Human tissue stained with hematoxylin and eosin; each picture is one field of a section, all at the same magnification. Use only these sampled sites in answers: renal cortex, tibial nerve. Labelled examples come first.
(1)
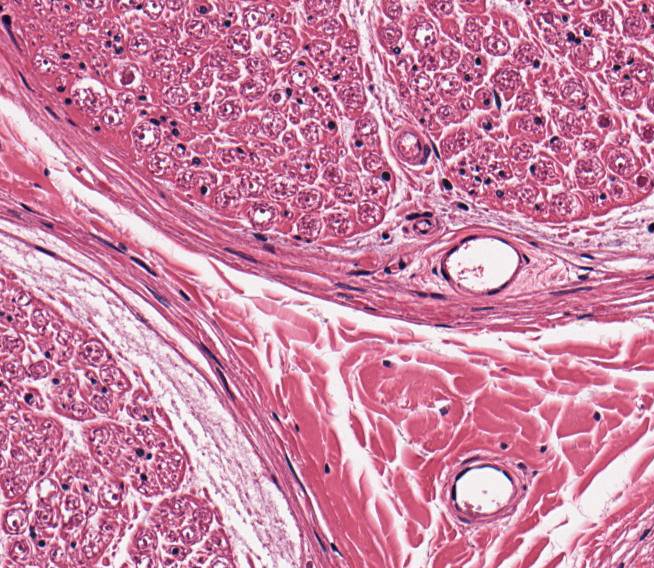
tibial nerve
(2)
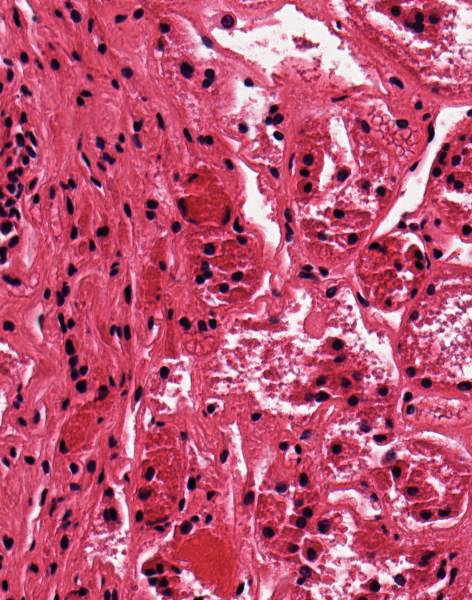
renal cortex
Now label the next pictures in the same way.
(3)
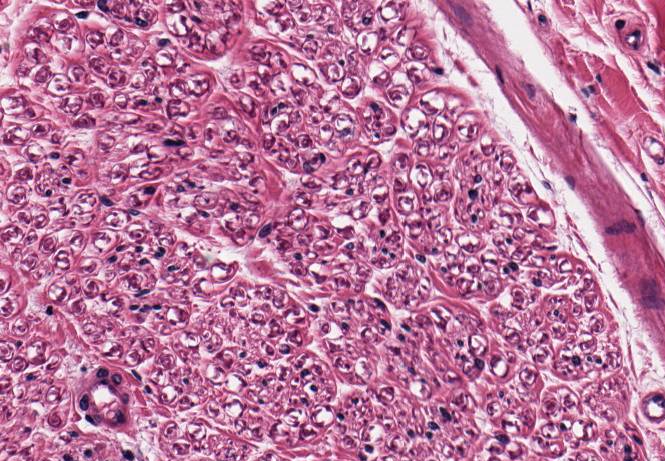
tibial nerve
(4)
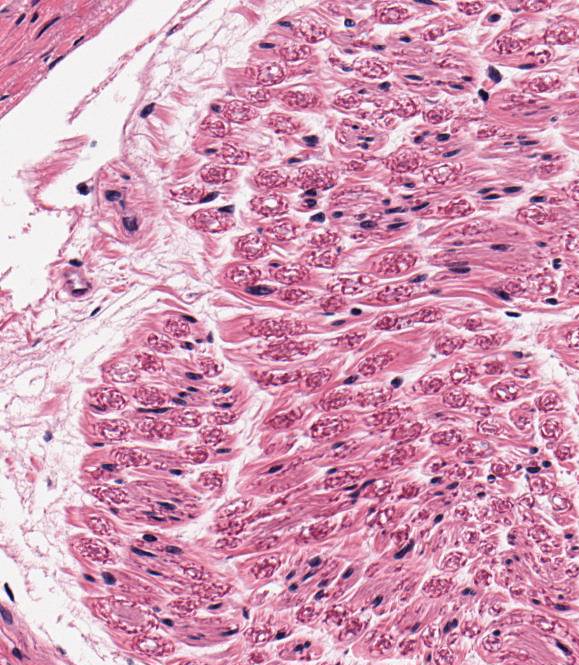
tibial nerve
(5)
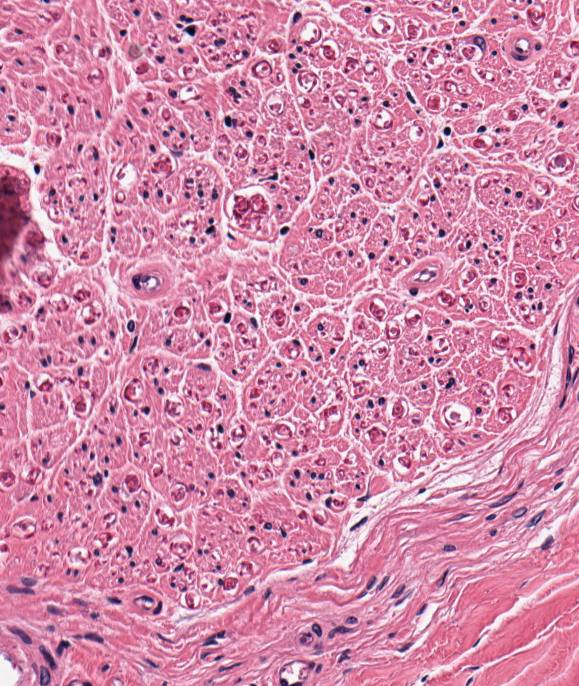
tibial nerve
